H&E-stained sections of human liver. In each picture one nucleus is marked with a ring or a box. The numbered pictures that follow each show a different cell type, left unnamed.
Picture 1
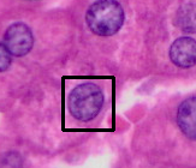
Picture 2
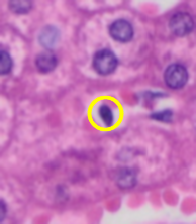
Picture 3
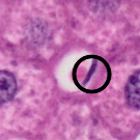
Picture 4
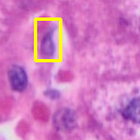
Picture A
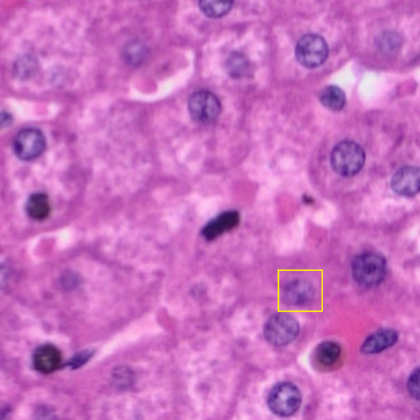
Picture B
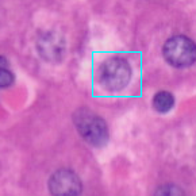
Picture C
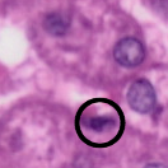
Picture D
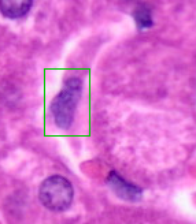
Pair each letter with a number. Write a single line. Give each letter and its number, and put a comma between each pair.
A 1, B 1, C 3, D 4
